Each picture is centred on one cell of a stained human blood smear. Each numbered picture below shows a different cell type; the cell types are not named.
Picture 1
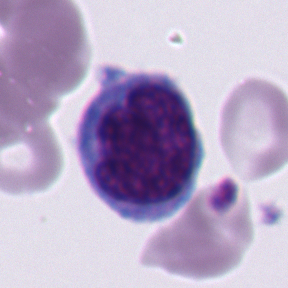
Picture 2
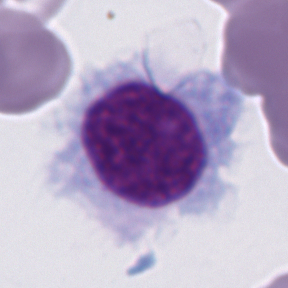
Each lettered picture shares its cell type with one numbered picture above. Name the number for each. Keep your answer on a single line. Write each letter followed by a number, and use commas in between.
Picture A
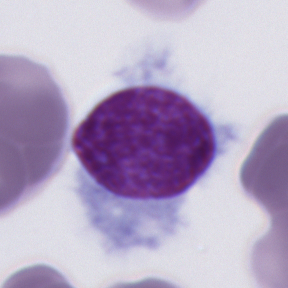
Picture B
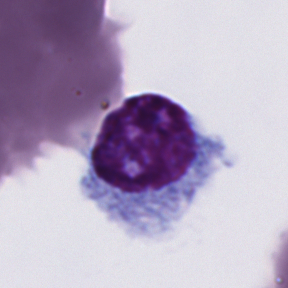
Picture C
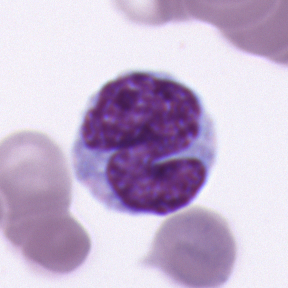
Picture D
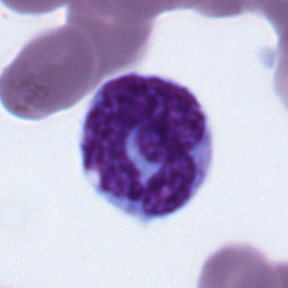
A 2, B 2, C 1, D 1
